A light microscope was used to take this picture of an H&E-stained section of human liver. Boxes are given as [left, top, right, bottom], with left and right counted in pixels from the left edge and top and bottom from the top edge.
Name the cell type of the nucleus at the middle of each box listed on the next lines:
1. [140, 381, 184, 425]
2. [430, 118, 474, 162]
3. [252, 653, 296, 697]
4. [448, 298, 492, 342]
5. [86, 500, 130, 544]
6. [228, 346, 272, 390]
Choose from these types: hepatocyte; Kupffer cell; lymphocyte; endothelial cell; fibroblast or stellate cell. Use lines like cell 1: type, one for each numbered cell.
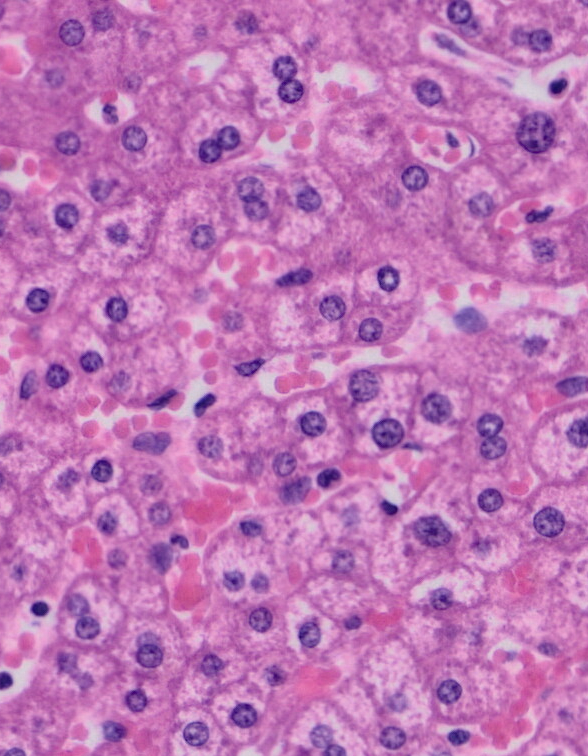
cell 1: endothelial cell
cell 2: lymphocyte
cell 3: hepatocyte
cell 4: endothelial cell
cell 5: hepatocyte
cell 6: fibroblast or stellate cell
